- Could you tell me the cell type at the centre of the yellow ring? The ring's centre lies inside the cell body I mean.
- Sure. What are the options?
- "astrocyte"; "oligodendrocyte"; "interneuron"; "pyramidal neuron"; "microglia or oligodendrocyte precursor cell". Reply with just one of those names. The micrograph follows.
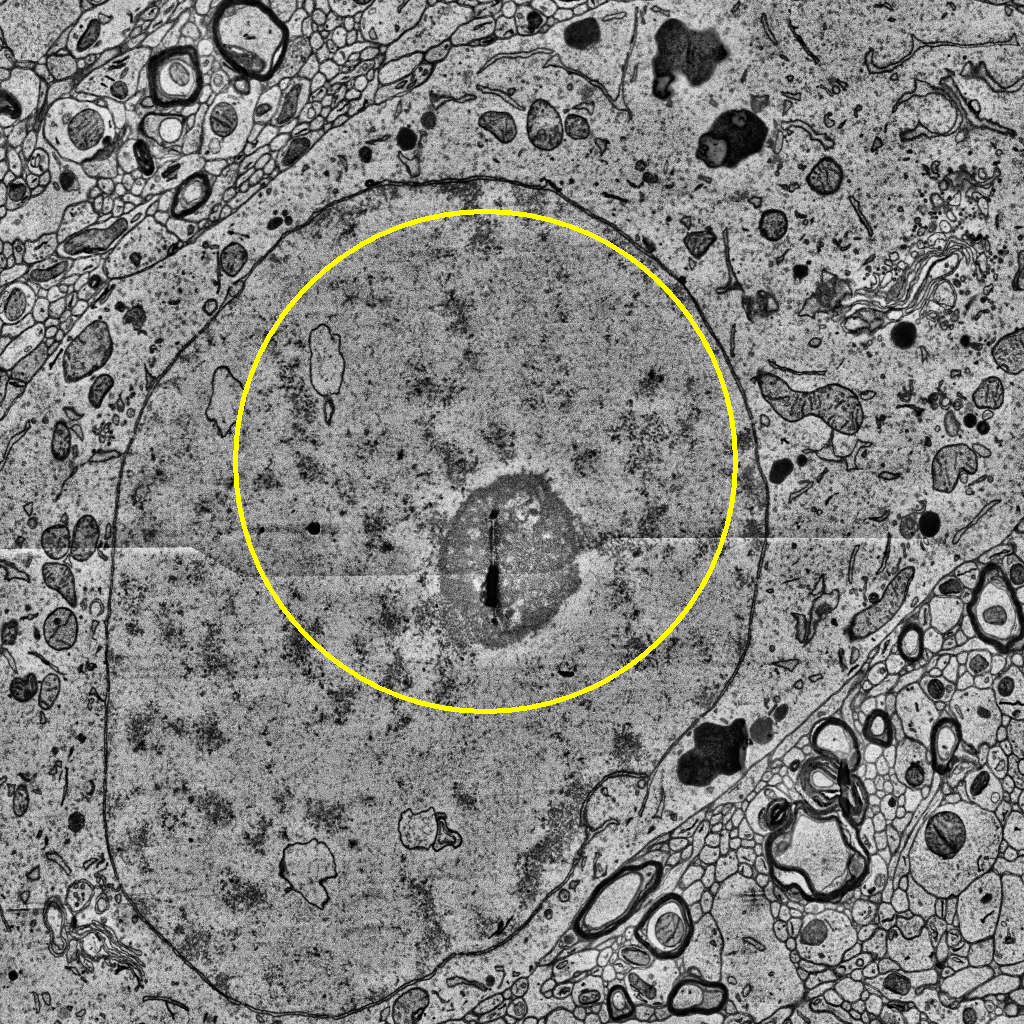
pyramidal neuron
